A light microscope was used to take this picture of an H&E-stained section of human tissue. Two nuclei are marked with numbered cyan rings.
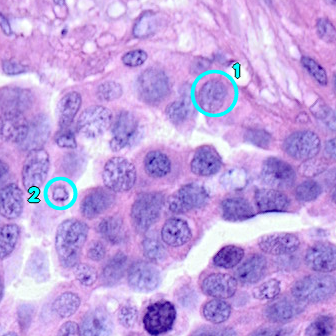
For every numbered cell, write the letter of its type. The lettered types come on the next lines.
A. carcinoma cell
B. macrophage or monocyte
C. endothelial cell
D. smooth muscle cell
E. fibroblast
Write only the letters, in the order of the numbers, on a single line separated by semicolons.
A; B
